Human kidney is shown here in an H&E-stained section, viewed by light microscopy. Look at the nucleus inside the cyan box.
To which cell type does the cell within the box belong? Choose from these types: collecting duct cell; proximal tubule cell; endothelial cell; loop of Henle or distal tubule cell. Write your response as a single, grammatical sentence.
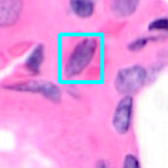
The identity of the cell within the box: it is an endothelial cell.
